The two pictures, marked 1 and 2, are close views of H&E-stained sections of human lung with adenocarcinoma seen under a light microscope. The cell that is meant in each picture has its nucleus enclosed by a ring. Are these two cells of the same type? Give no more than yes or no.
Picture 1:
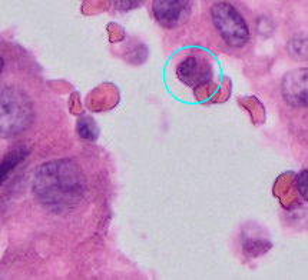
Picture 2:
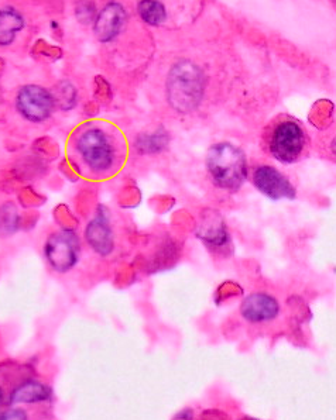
yes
